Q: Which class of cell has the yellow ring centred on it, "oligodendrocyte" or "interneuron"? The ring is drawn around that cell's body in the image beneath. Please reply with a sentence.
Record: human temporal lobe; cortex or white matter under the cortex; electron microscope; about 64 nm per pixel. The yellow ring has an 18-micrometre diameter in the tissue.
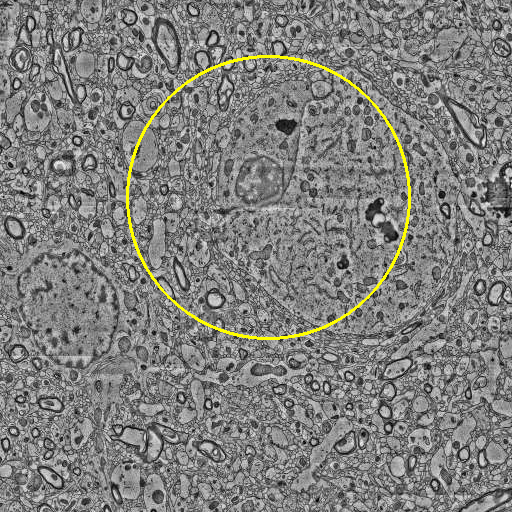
It is centred on an oligodendrocyte.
